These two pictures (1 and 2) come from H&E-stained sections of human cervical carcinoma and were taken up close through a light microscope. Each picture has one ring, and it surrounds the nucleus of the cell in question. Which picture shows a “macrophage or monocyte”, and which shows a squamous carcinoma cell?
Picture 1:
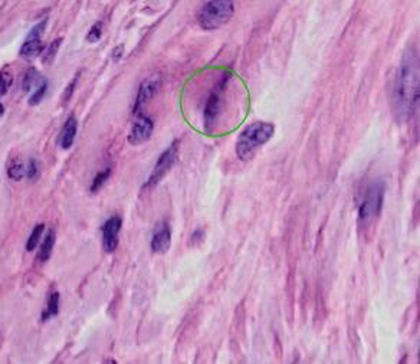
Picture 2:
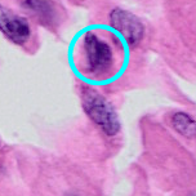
1: macrophage or monocyte
2: squamous carcinoma cell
